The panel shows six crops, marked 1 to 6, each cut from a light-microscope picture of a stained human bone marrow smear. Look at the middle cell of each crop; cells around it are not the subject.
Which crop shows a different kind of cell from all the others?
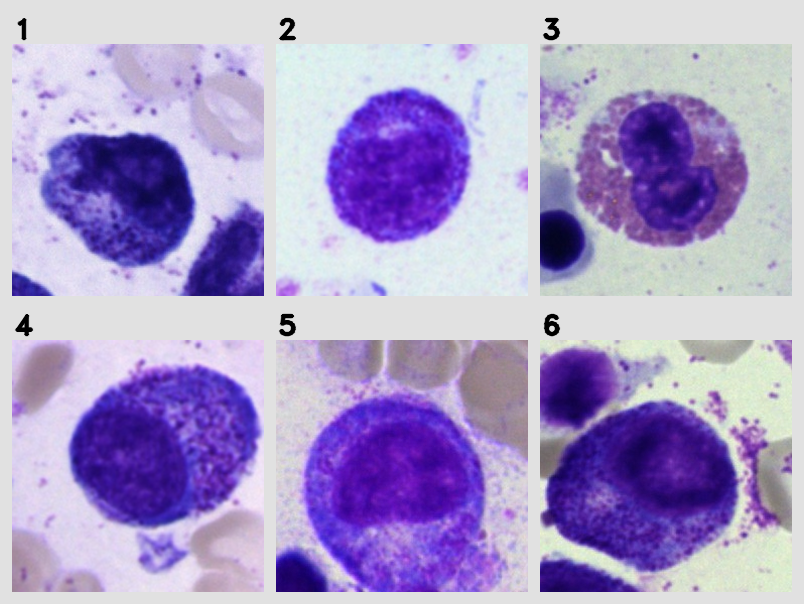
3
